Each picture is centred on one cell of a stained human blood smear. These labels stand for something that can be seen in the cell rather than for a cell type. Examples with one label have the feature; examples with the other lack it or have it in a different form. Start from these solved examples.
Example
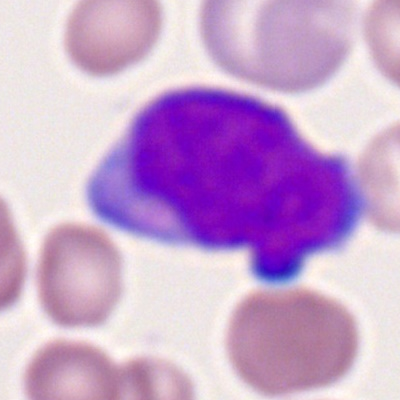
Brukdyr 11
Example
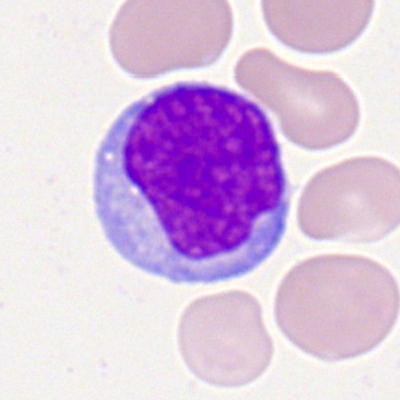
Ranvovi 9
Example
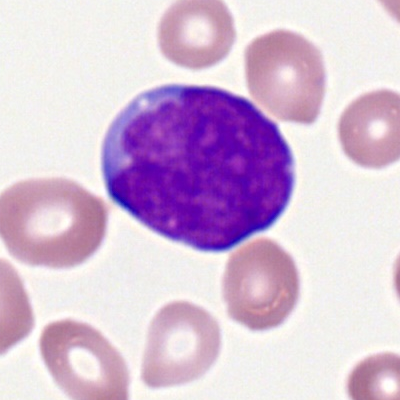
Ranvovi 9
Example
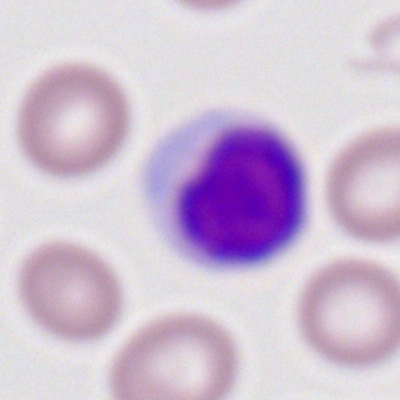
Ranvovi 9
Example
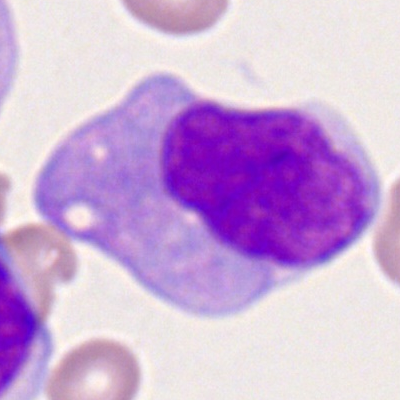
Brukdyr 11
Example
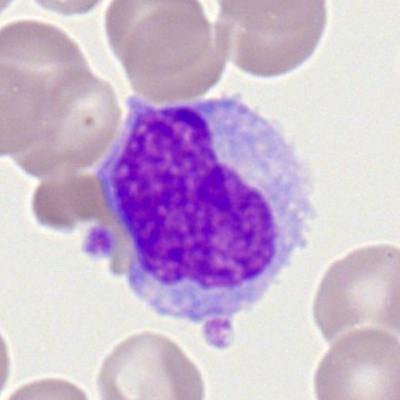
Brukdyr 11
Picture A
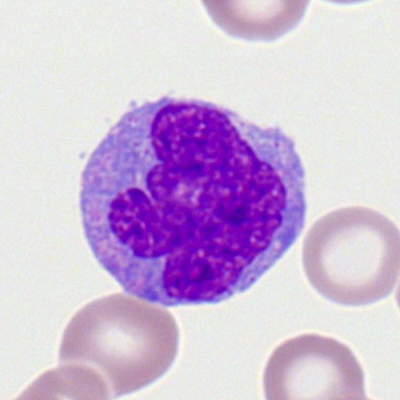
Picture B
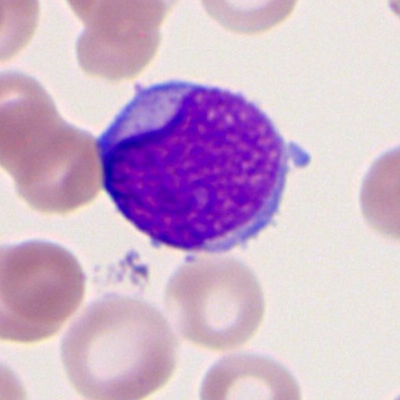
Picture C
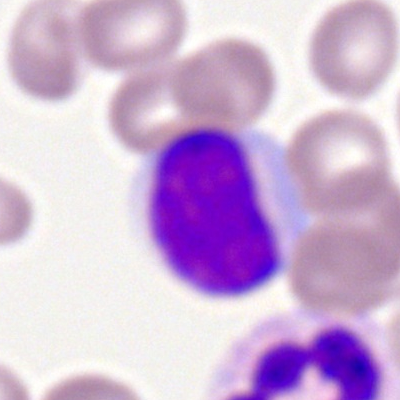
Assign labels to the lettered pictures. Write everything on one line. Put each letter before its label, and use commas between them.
A Brukdyr 11, B Brukdyr 11, C Ranvovi 9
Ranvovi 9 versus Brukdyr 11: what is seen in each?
Ranvovi 9, smooth outline; Brukdyr 11, ragged outline or projections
